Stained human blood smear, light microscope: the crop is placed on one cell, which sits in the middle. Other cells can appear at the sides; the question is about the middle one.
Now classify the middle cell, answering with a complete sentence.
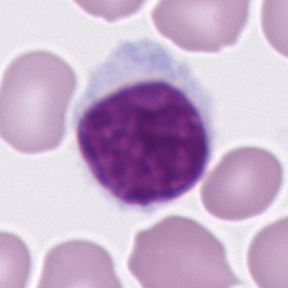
For this crop, the cell in the middle is a hairy cell.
